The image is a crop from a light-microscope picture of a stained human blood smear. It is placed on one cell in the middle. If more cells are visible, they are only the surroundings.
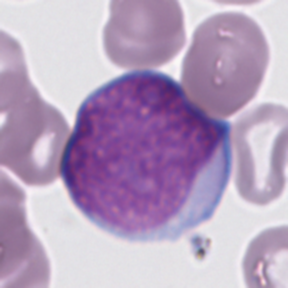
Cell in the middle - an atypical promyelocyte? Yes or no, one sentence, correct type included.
No, the central cell should be identified as a myeloblast, not as an atypical promyelocyte.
